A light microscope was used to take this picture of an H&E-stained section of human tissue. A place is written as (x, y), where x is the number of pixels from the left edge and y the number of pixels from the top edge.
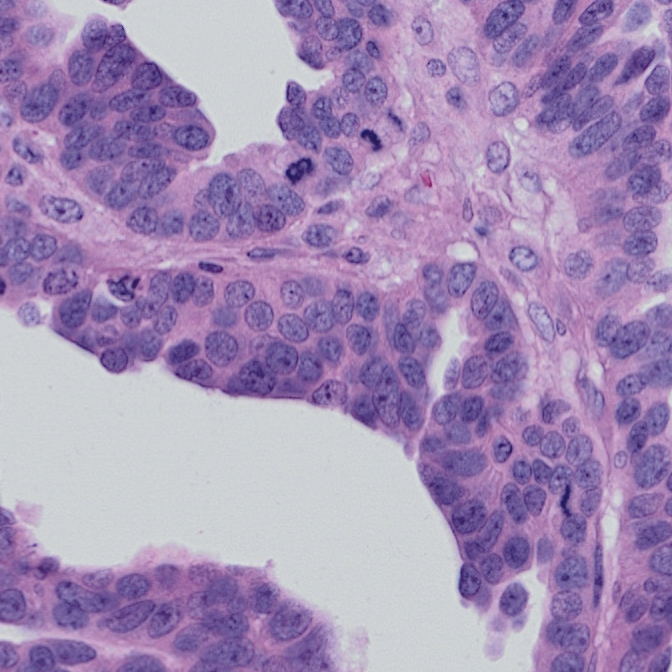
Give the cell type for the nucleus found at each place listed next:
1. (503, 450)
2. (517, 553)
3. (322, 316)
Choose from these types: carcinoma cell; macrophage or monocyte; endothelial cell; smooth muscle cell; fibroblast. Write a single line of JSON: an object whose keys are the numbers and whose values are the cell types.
{"1": "macrophage or monocyte", "2": "carcinoma cell", "3": "carcinoma cell"}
